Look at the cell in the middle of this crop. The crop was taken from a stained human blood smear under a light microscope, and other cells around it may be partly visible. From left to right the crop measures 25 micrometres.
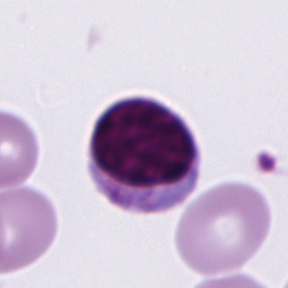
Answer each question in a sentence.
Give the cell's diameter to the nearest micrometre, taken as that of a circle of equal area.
It measures about 10 micrometres across.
